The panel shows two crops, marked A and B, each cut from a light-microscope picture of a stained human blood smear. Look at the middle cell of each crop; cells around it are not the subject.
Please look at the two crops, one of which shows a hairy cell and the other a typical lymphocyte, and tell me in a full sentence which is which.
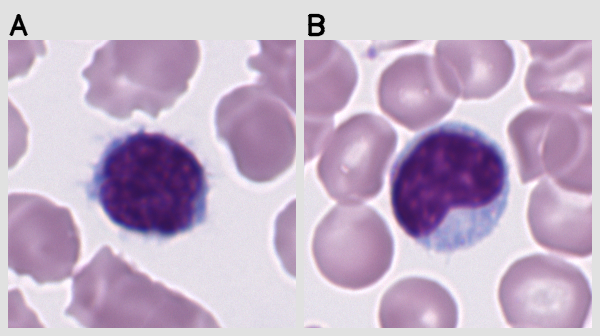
Crop A is to be labelled a hairy cell, and crop B a typical lymphocyte.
